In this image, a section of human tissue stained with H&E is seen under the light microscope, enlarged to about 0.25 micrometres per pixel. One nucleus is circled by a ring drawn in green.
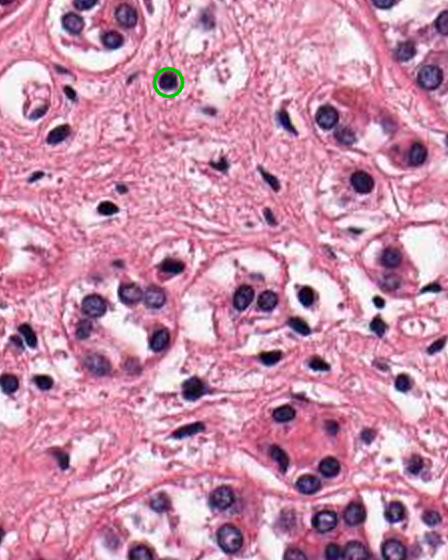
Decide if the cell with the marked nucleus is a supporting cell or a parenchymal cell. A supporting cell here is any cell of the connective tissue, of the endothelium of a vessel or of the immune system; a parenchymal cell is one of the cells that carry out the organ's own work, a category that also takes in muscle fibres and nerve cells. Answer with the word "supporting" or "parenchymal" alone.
supporting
